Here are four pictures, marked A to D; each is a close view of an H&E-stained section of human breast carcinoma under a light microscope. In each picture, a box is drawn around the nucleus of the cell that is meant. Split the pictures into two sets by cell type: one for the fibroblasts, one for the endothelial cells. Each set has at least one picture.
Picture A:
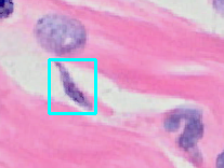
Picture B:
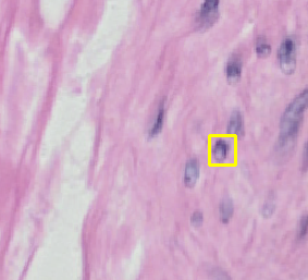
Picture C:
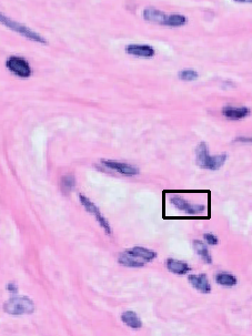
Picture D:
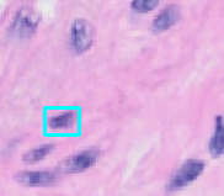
A: fibroblast
B: endothelial cell
C: endothelial cell
D: endothelial cell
